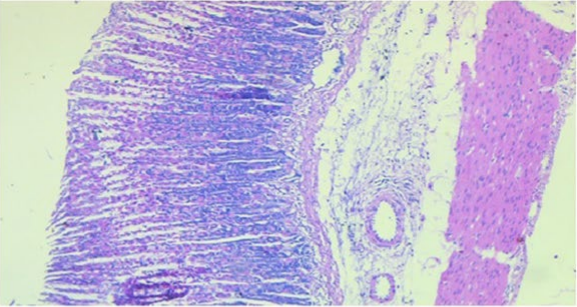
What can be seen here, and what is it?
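This is a section through the stomach wall, showing a thick glandular mucosa, a loose submucosa and a band of muscle. The mucosa is made of long, straight glands lying side by side and running perpendicular to the free surface, stained in mixed pink and purple with darker purple nuclei crowded along them. A thin pink layer borders the base of the glands. At the far side a broad band of pink muscle with scattered elongated nuclei completes the wall.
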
